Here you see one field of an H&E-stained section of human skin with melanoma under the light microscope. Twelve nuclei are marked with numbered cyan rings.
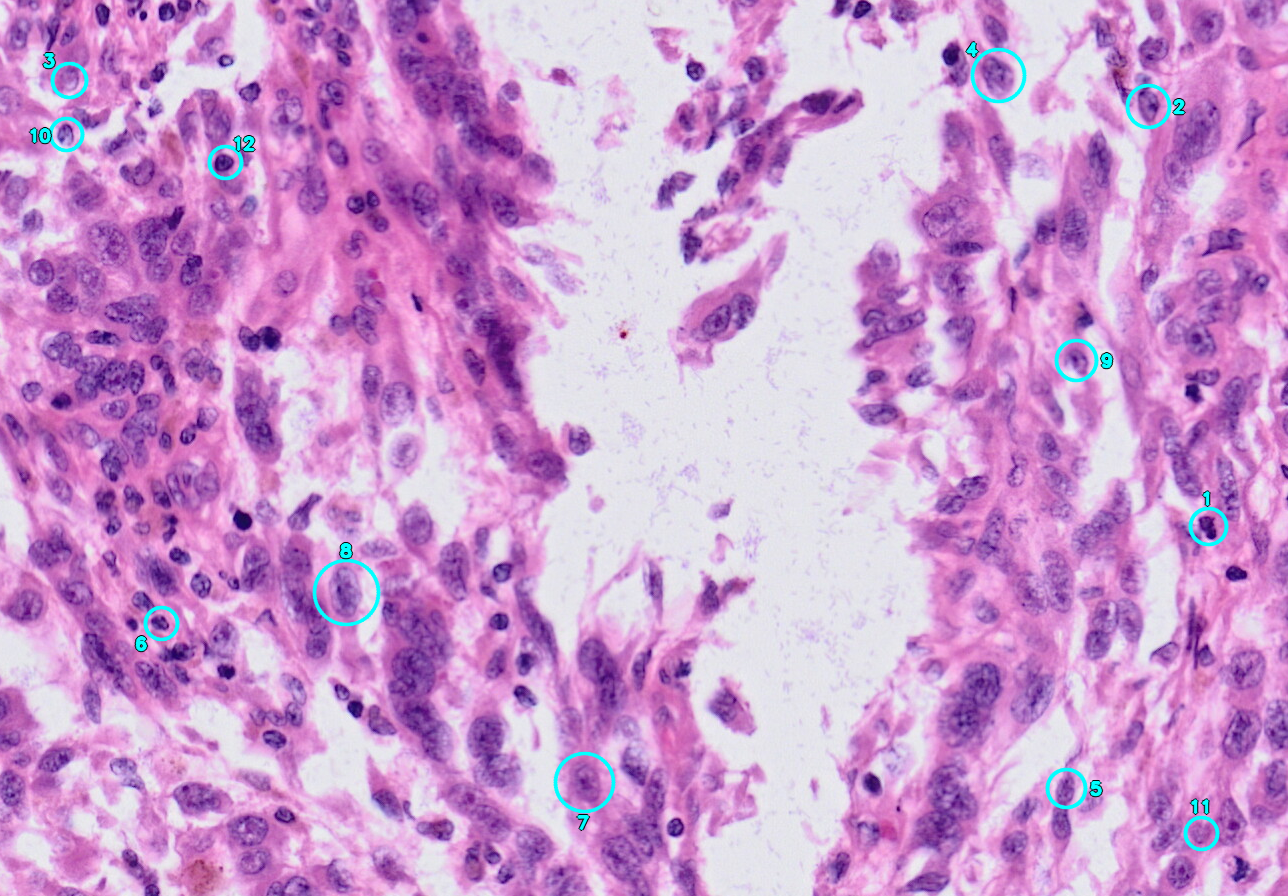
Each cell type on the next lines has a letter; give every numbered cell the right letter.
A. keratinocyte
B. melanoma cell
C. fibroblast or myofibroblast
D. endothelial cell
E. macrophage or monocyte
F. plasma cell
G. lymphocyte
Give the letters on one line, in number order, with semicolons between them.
G; E; B; B; B; G; B; B; B; G; B; G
